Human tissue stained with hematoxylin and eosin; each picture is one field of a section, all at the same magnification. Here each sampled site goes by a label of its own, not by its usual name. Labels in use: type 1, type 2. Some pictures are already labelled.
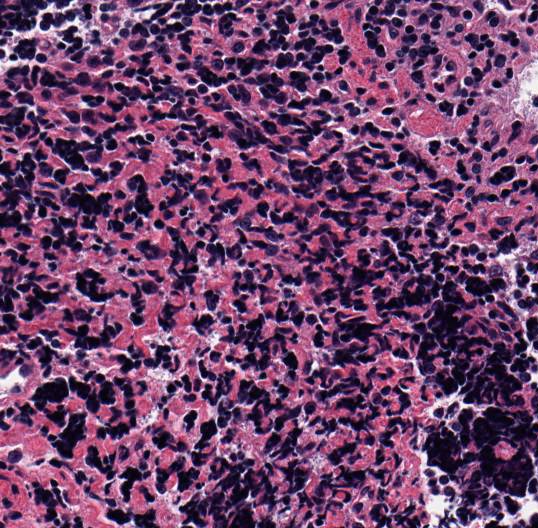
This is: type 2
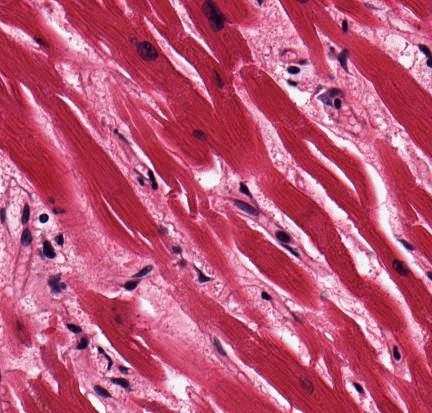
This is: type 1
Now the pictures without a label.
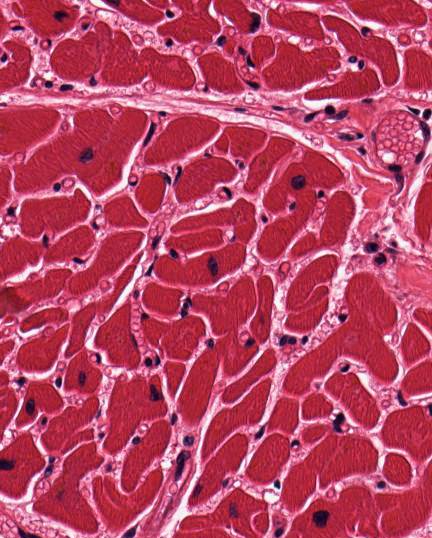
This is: type 1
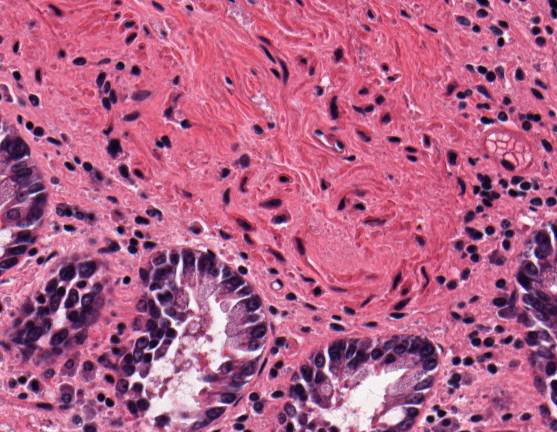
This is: type 2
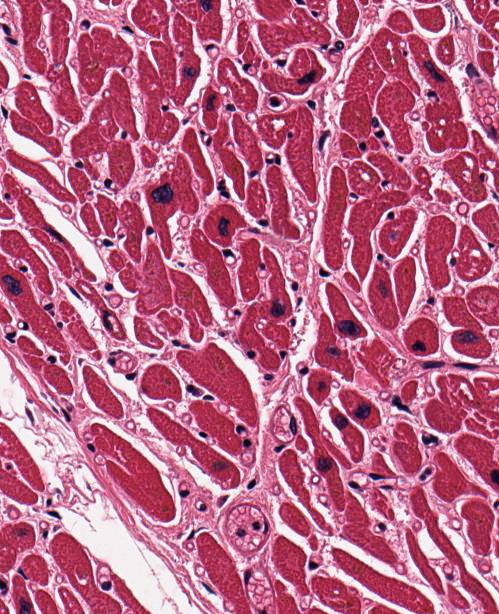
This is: type 1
